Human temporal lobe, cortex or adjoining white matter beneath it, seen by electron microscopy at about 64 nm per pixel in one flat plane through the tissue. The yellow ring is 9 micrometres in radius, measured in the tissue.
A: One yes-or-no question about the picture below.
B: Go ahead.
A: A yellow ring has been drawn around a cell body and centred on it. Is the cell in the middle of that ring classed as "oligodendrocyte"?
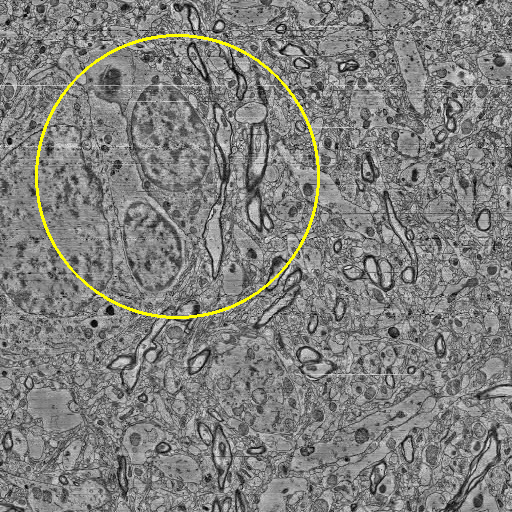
Yes, it is classed that way.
